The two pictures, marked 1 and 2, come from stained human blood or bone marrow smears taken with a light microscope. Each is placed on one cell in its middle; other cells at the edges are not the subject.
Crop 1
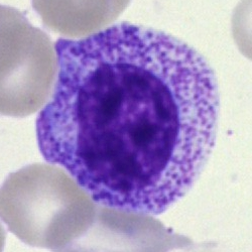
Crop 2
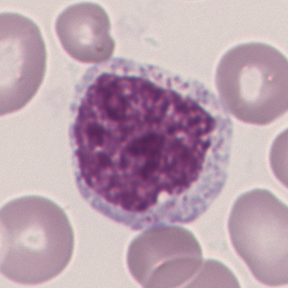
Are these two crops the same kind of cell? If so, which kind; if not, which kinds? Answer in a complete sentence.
Yes, myelocytes are present at the centre of both crops.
